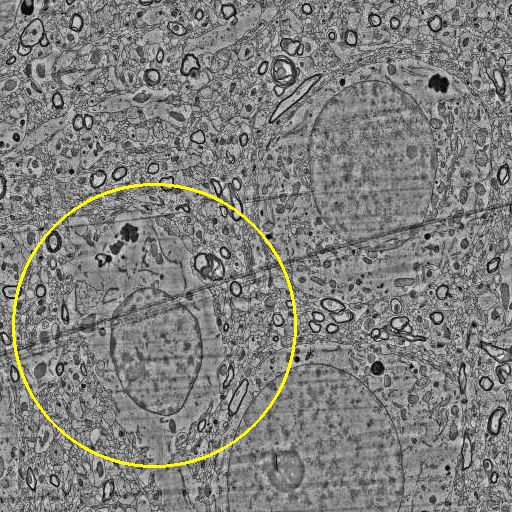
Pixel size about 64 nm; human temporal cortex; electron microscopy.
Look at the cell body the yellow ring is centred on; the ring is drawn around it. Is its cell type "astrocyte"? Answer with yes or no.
Yes, that is its cell type.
